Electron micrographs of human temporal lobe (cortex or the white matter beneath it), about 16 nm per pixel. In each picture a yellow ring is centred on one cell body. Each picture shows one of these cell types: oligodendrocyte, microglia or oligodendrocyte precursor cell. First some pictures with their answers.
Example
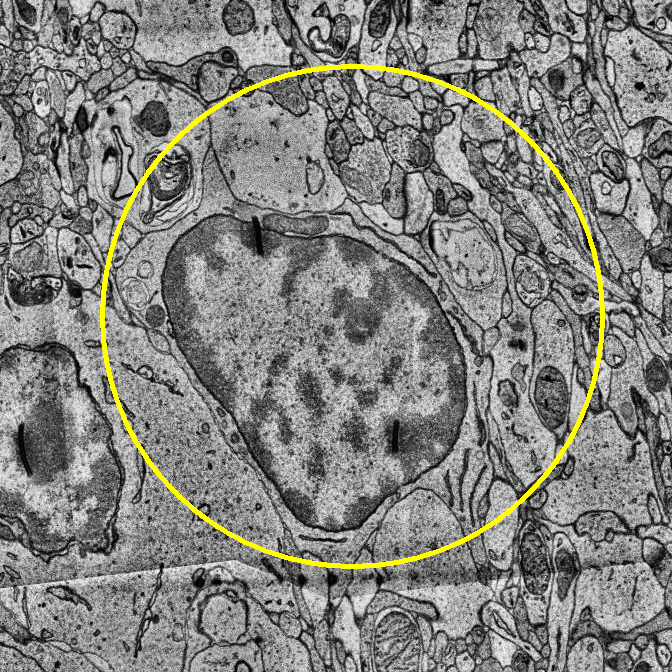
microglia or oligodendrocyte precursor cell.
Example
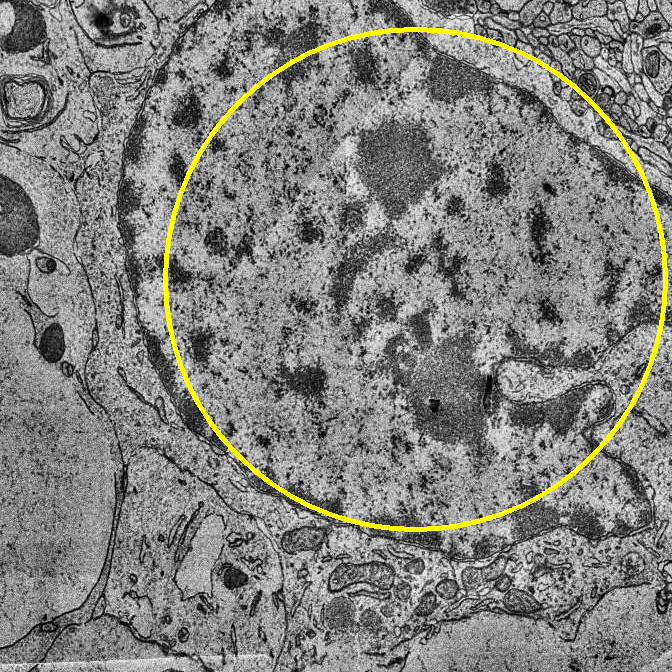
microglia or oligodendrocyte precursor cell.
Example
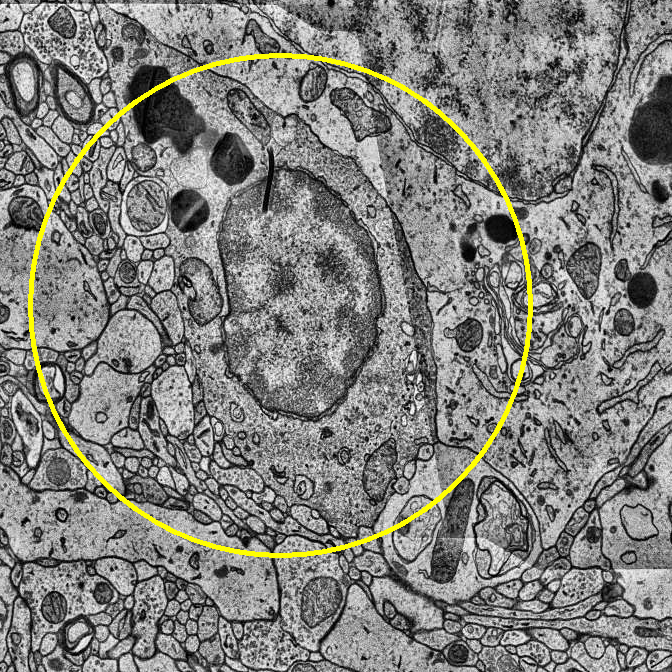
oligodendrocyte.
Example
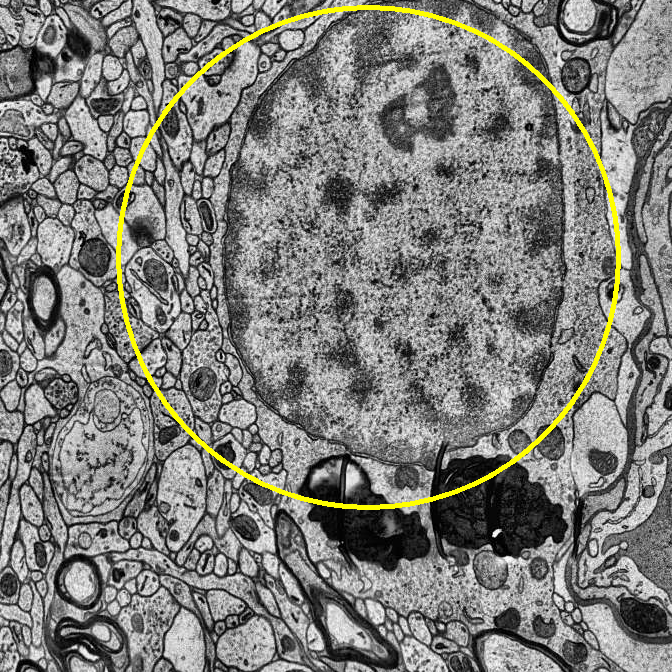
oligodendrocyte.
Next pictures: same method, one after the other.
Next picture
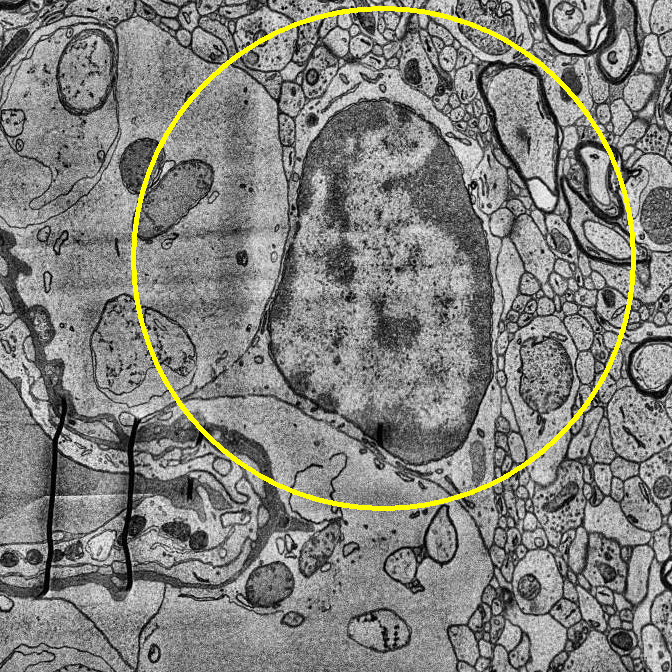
microglia or oligodendrocyte precursor cell.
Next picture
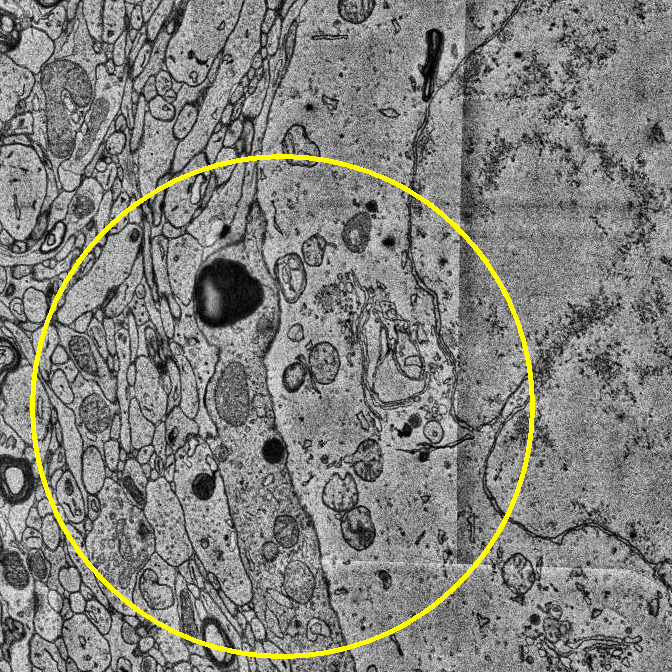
oligodendrocyte.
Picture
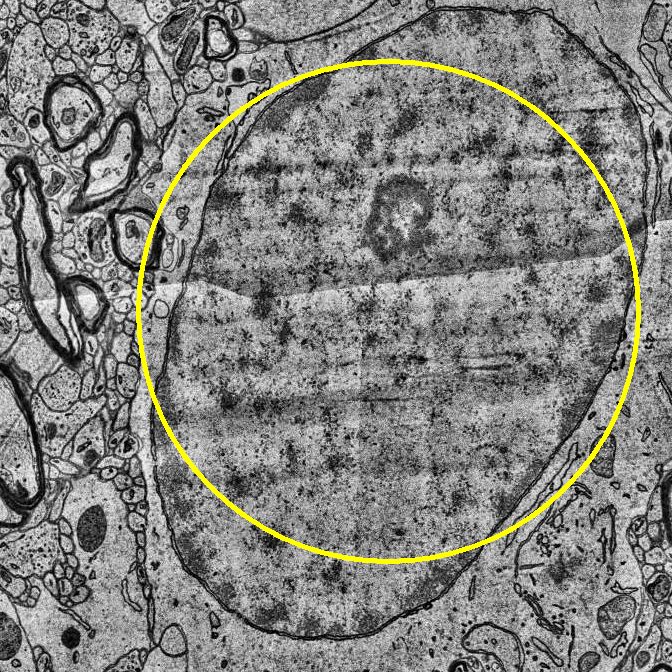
microglia or oligodendrocyte precursor cell.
